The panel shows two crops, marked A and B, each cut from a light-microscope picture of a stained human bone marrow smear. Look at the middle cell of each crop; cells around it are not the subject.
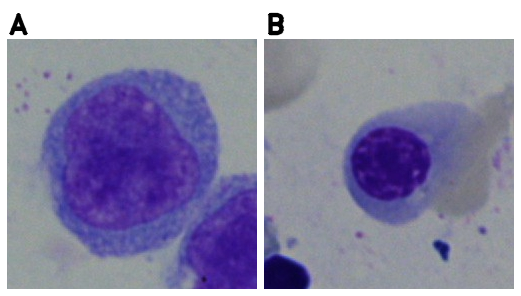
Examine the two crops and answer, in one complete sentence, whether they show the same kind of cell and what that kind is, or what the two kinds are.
No, crop A carries a blast at its centre, and crop B carries an erythroblast.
